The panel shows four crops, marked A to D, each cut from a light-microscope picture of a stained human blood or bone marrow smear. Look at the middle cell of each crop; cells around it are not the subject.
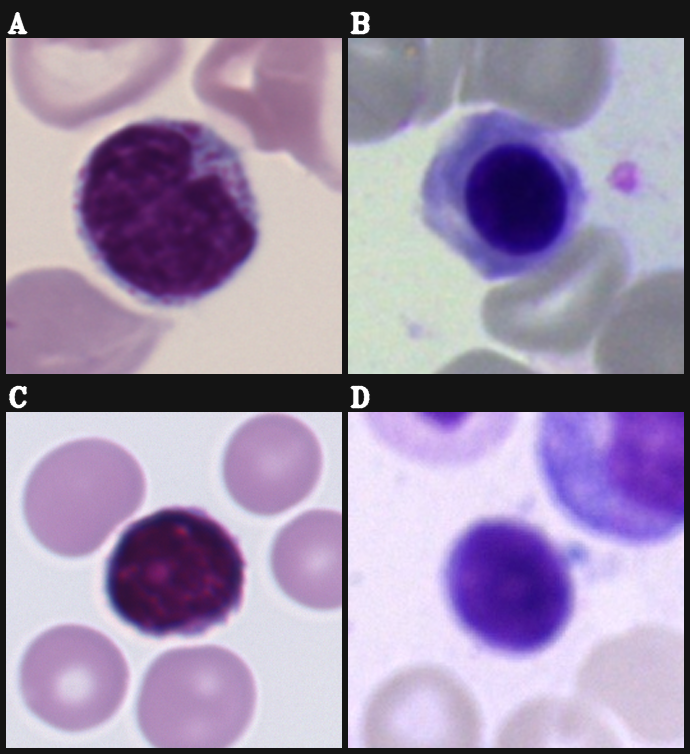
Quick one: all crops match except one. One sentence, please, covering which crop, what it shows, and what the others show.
In contrast to the other crops, all of which show lymphocytes, crop B shows an erythroblast.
